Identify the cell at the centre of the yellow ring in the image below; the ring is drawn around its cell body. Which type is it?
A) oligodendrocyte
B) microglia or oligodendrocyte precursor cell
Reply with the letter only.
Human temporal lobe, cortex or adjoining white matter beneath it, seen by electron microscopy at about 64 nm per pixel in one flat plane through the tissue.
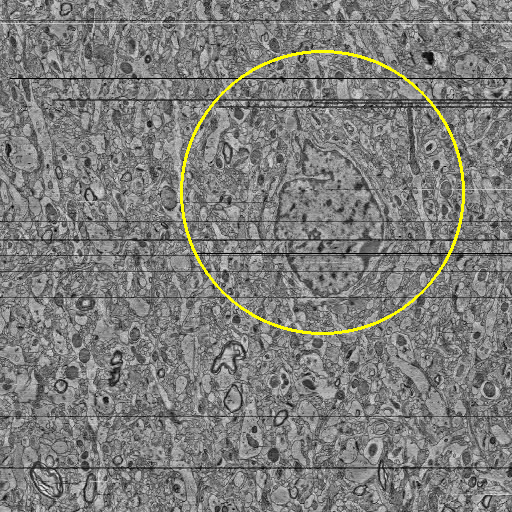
B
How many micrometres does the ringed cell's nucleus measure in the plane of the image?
The nucleus is approximately 9 micrometers long by 7 micrometers wide in this plane.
